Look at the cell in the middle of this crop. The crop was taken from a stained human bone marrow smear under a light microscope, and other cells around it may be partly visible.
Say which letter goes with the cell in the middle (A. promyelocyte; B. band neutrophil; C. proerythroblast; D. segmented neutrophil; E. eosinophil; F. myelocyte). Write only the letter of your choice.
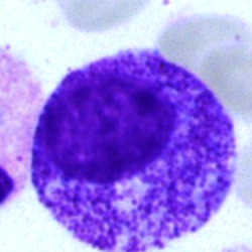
F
